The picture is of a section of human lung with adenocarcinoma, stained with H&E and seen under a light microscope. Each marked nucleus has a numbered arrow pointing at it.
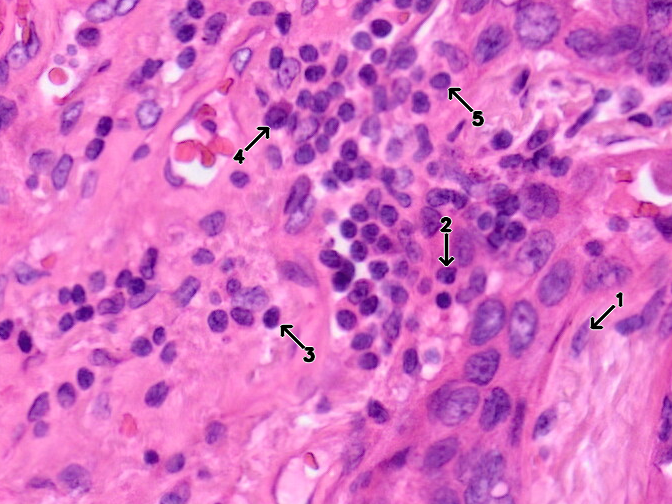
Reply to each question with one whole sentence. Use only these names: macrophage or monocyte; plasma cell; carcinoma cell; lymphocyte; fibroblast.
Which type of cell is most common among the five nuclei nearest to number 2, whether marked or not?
Macrophages or monocytes account for more than half of the five nuclei nearest to number 2.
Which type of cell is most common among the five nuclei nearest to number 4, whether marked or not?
Of the five nuclei nearest to number 4, most belong to lymphocytes.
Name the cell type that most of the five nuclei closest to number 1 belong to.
The majority of the five nuclei closest to number 1 belong to carcinoma cells.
